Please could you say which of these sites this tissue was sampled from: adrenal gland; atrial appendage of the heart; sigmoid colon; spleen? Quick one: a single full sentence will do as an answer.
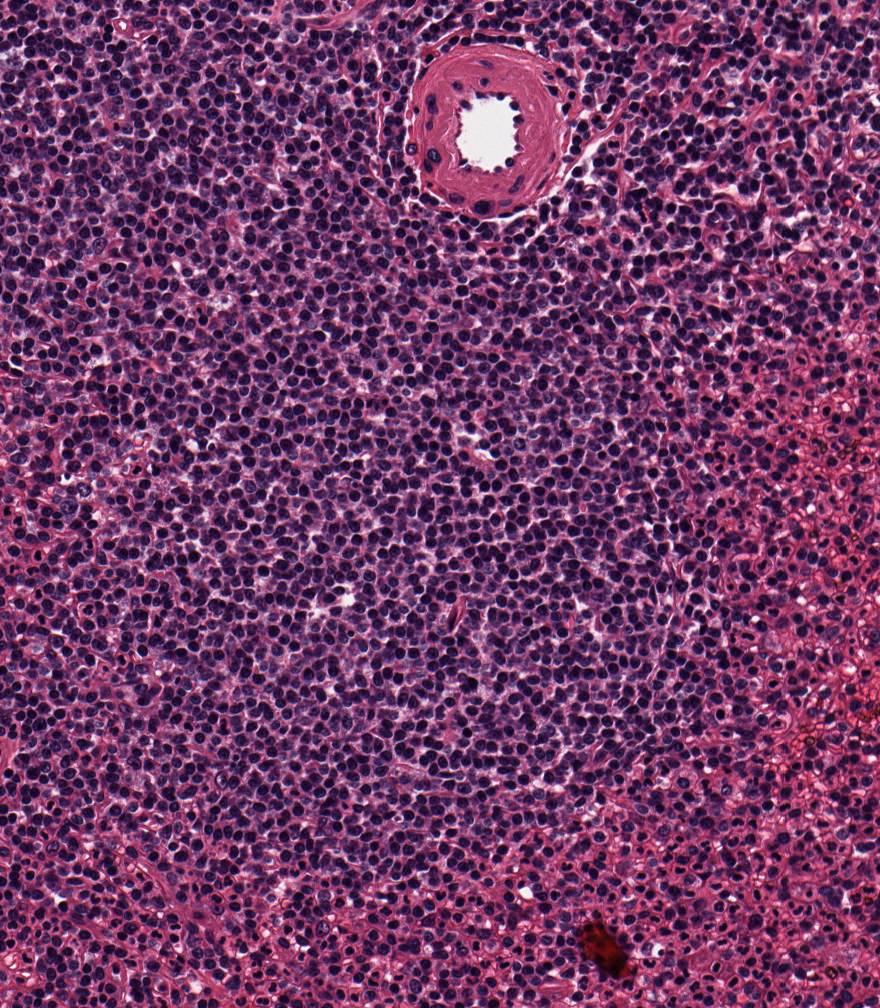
The tissue studied in this section came from the spleen.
